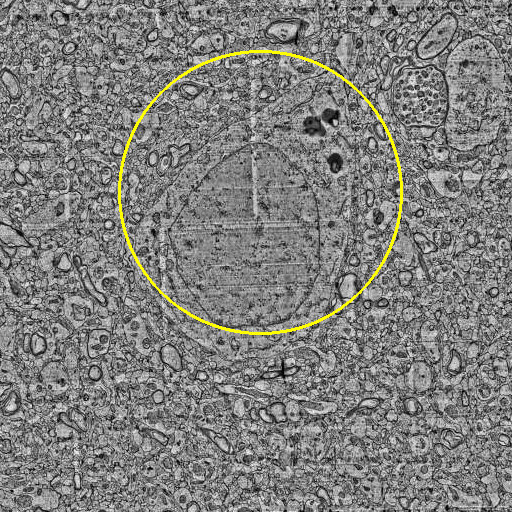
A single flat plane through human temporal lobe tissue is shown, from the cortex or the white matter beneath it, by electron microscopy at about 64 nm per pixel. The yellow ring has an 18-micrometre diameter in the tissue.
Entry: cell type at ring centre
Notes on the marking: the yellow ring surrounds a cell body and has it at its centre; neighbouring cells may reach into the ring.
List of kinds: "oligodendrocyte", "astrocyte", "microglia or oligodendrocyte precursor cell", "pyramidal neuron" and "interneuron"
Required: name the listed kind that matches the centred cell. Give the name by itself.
pyramidal neuron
